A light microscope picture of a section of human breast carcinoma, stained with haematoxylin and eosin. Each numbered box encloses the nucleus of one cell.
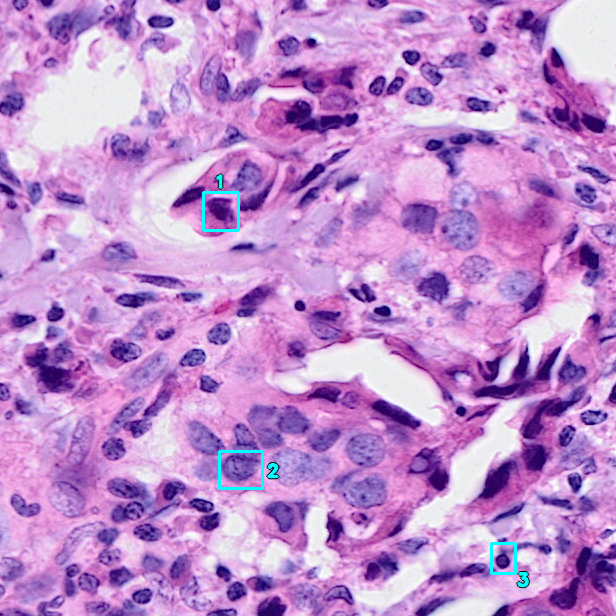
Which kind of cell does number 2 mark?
carcinoma cell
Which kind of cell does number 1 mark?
carcinoma cell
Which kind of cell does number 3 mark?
lymphocyte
